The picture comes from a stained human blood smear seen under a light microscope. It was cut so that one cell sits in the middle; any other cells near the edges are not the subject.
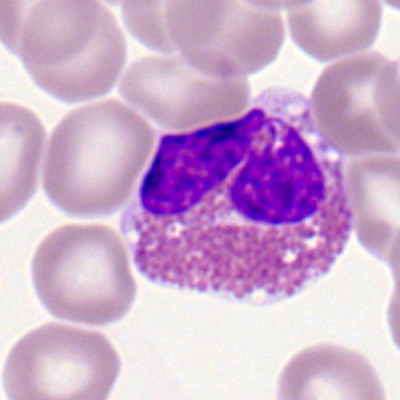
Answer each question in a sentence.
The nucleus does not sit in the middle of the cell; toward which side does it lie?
The nucleus is pushed toward the top of the cell.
